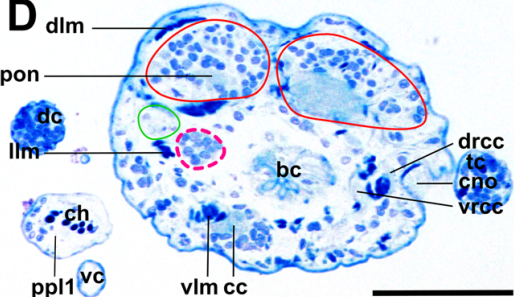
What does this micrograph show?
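A blue-stained cross section of a small worm body shows two large paired masses in the dorsal half, each filled with many small, round, closely packed nuclei around a paler fibrous core, beneath a thin layer of darker elongated muscle profiles. Below one of them lies a small compact round cluster of nuclei, and a further small nuclear group sits laterally. Centrally there is a cavity with a pale lining, and ventrally small groups of dark-stained muscle bundles. Separate round cirri with nuclei lie beside the body.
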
